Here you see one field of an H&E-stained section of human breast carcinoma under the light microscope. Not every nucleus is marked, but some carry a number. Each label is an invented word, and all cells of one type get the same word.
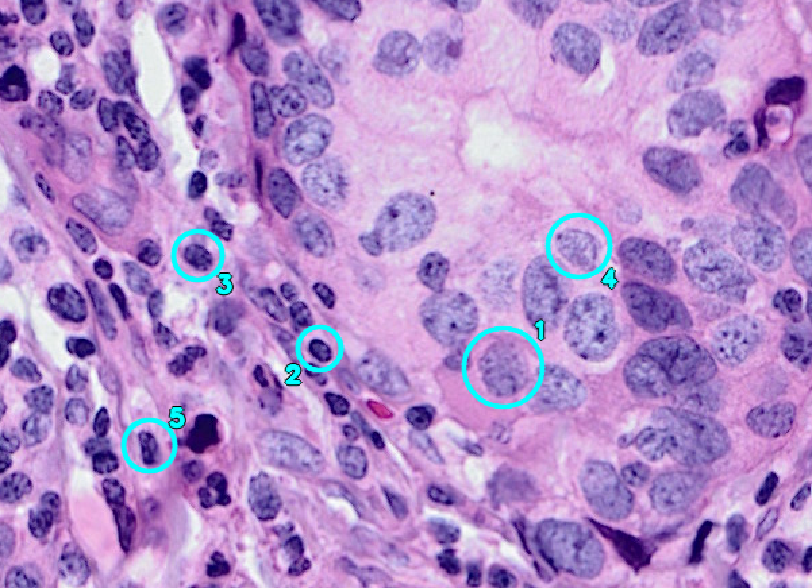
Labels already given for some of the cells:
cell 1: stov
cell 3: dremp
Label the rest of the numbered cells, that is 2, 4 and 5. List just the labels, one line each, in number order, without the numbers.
dremp
stov
dremp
